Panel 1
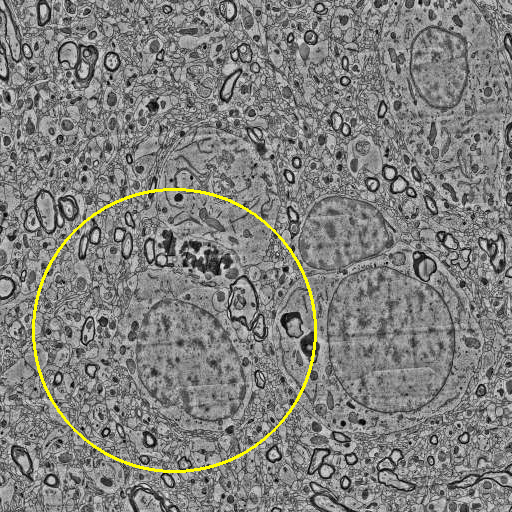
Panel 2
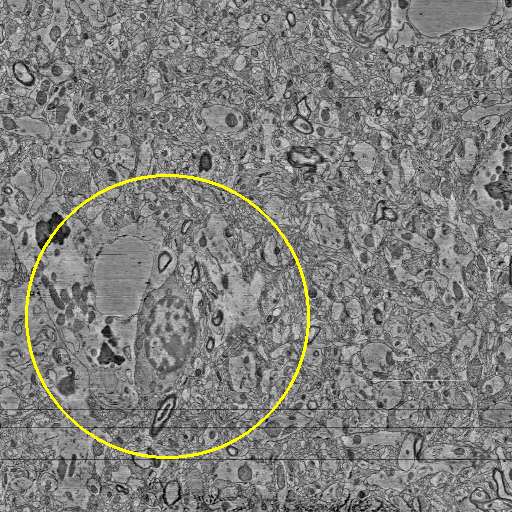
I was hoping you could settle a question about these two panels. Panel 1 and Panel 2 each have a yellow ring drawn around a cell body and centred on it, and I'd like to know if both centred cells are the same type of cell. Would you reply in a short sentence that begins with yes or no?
No, they are two types of cell.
